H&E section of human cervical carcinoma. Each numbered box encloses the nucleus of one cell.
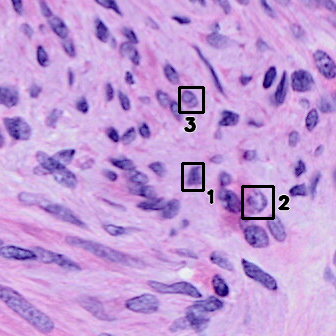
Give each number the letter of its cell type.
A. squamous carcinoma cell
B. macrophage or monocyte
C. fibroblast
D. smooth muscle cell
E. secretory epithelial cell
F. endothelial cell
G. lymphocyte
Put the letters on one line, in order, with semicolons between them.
C; F; D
